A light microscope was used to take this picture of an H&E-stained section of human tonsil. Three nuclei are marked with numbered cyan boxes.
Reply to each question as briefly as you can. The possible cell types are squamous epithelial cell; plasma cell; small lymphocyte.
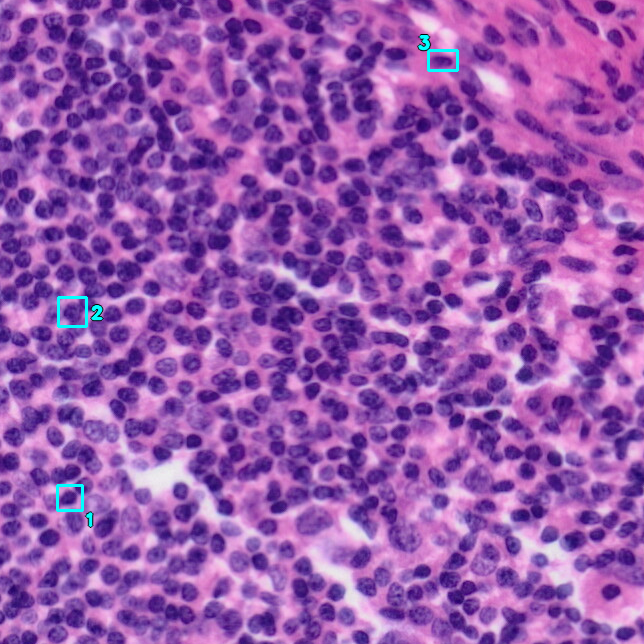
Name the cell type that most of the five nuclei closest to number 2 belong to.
small lymphocyte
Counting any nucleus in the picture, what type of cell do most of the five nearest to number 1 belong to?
small lymphocyte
